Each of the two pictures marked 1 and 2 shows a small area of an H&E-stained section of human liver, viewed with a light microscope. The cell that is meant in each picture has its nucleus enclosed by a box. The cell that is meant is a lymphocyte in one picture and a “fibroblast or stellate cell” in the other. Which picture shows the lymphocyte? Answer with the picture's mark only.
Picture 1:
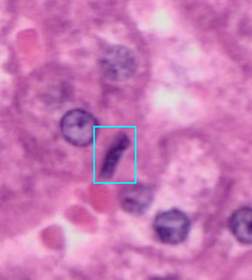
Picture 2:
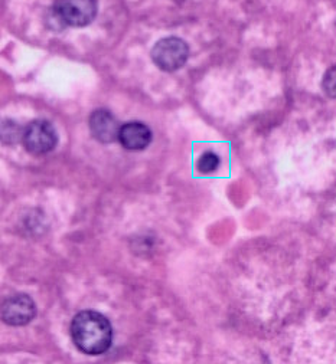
2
